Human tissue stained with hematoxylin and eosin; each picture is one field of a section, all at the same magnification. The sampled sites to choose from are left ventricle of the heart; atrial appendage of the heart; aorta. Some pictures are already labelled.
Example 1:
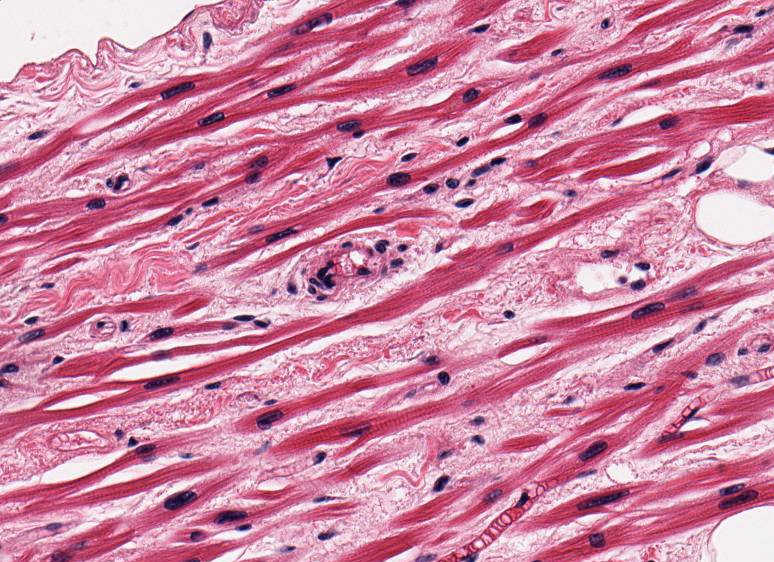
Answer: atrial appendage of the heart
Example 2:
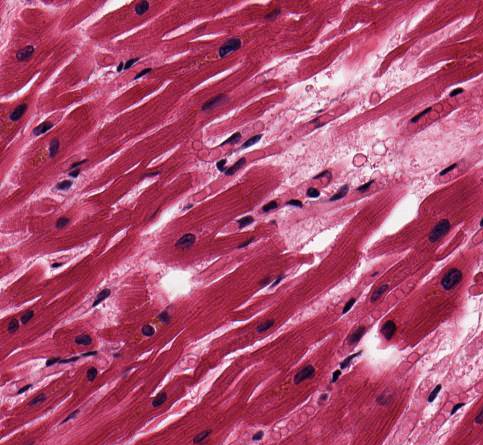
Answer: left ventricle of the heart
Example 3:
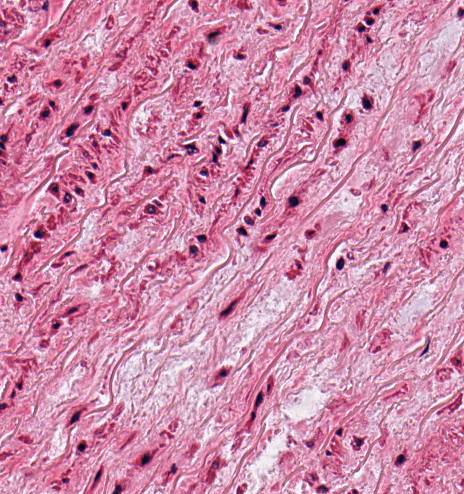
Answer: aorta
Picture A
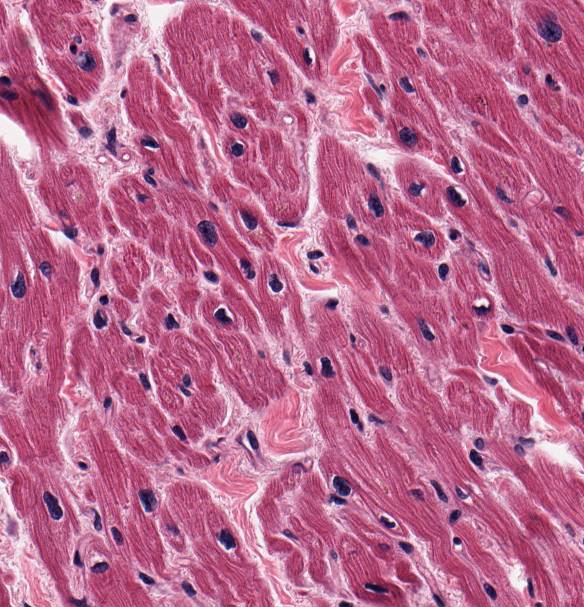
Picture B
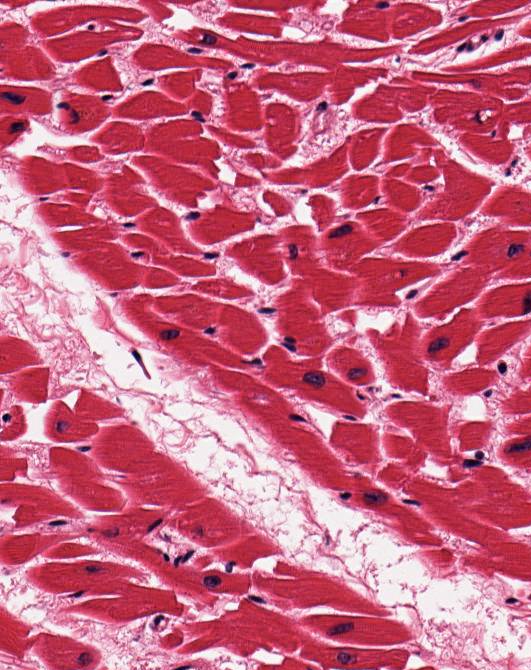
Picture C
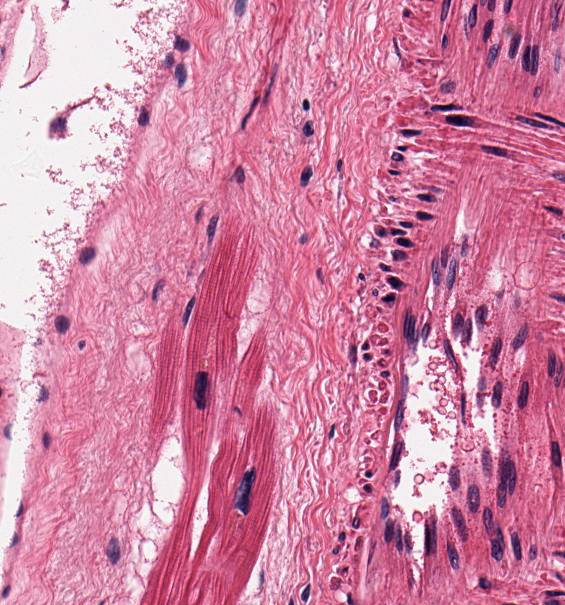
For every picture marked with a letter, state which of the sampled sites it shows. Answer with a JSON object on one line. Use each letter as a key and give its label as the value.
{"A": "atrial appendage of the heart", "B": "left ventricle of the heart", "C": "atrial appendage of the heart"}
